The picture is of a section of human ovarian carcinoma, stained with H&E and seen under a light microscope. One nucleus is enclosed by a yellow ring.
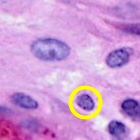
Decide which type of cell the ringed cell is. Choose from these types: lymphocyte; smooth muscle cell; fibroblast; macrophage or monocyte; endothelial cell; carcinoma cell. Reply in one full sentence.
Placed in its cell category, the ringed cell is a lymphocyte.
